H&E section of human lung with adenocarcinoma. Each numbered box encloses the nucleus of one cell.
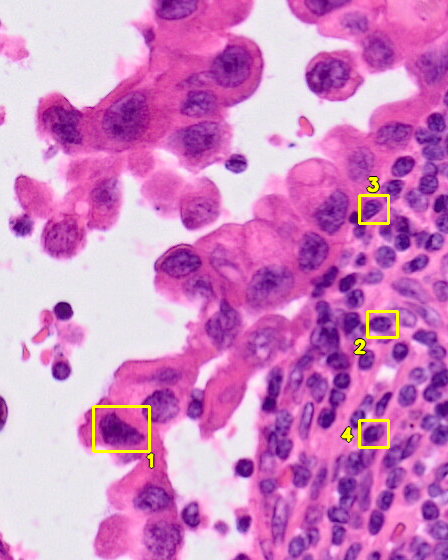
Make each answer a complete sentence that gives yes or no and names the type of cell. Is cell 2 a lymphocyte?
Yes. The cell carrying number 2 is a lymphocyte.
